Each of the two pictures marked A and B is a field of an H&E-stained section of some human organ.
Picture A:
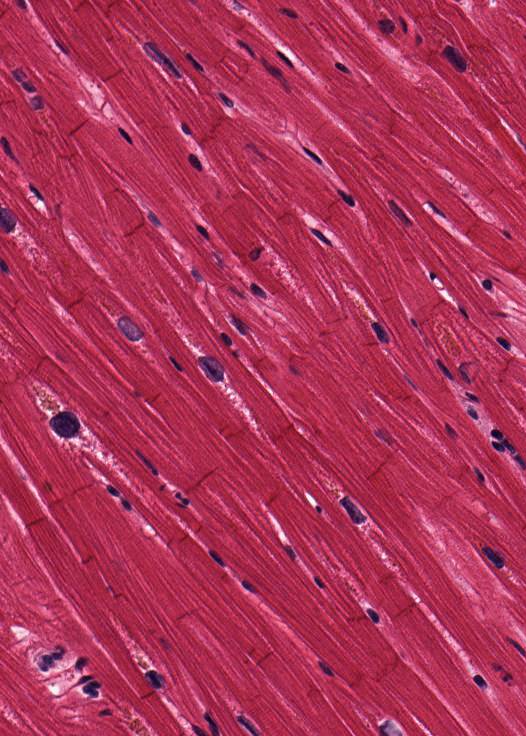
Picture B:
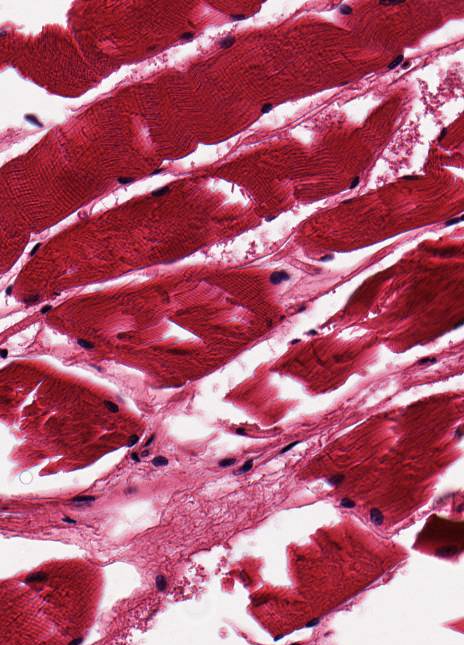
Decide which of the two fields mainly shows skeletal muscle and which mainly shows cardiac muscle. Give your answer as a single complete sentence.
It is picture A that mainly shows cardiac muscle, and picture B that mainly shows skeletal muscle.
